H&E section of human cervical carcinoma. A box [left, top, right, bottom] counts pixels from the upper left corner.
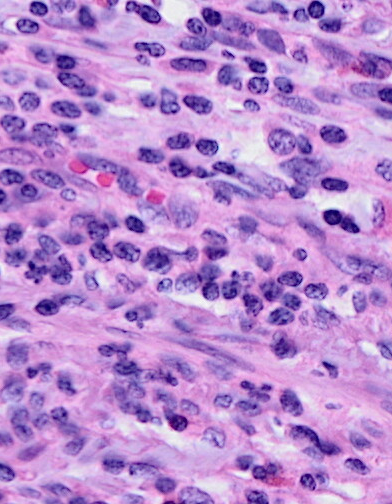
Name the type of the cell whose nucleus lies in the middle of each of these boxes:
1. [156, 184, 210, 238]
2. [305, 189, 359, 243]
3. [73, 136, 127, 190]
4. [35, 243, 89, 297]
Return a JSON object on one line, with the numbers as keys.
{"1": "endothelial cell", "2": "lymphocyte", "3": "endothelial cell", "4": "lymphocyte"}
